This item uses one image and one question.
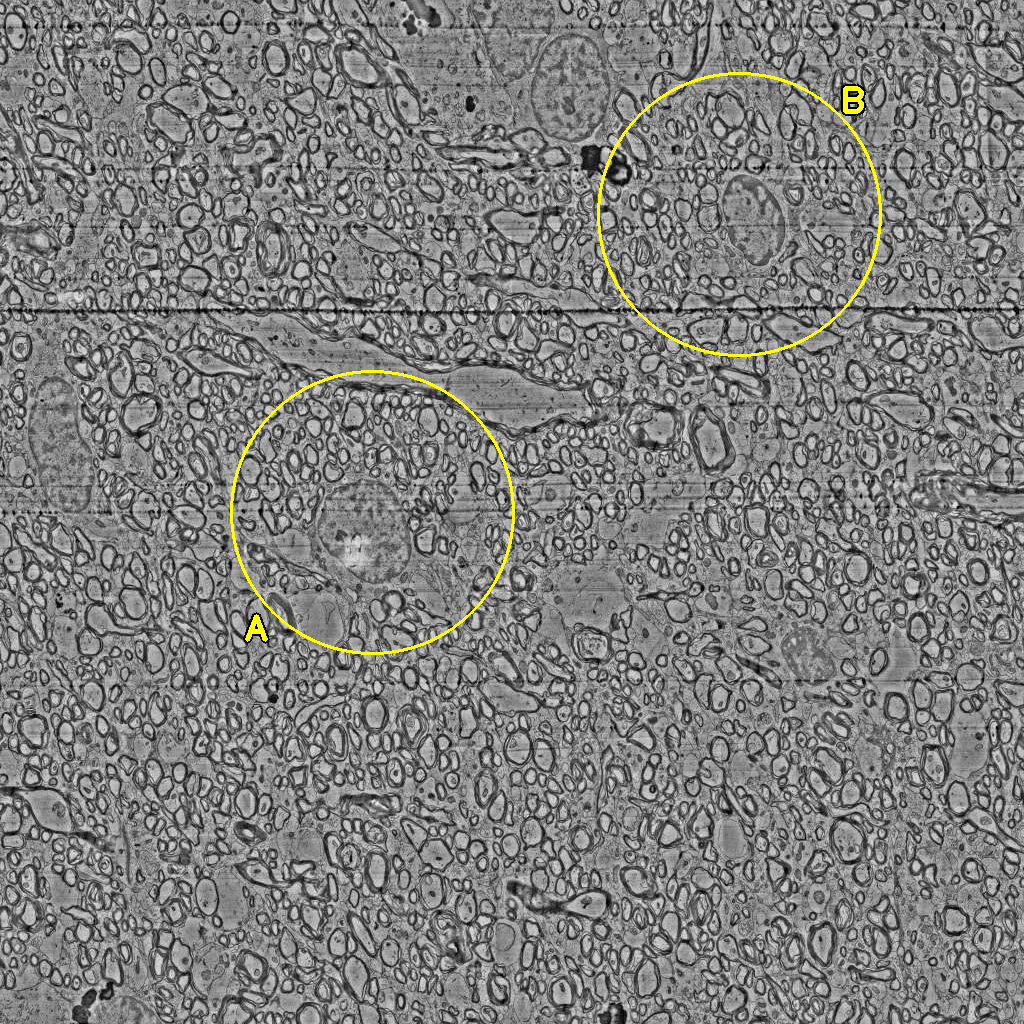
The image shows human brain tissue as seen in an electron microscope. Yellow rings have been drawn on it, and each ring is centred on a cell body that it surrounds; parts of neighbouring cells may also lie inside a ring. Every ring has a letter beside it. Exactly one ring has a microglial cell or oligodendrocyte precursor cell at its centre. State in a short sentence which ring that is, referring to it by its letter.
Ring B has that cell at its centre.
